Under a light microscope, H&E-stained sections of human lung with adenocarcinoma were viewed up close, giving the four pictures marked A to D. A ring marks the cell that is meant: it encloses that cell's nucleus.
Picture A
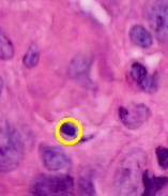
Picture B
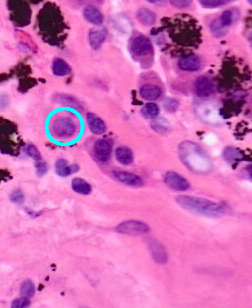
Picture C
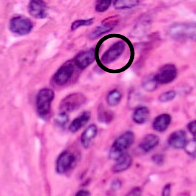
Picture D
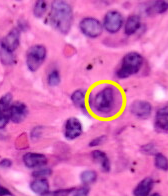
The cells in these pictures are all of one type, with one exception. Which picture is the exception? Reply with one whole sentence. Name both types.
All pictures except A show plasma cells; picture A shows a lymphocyte.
